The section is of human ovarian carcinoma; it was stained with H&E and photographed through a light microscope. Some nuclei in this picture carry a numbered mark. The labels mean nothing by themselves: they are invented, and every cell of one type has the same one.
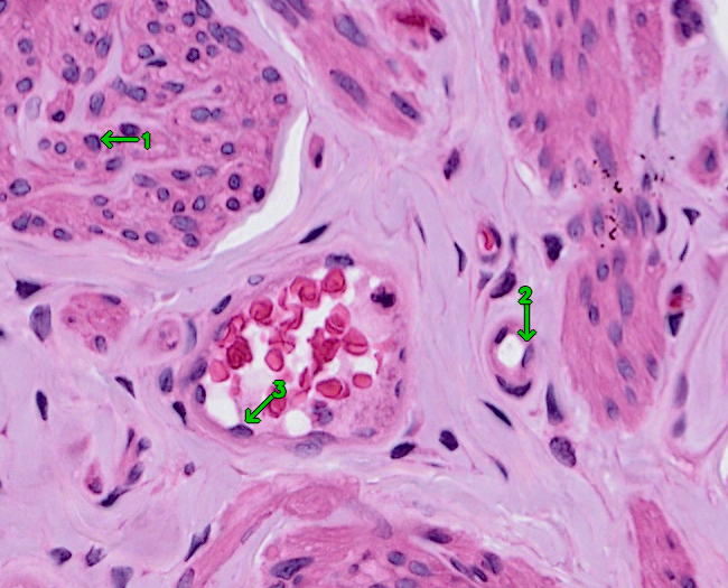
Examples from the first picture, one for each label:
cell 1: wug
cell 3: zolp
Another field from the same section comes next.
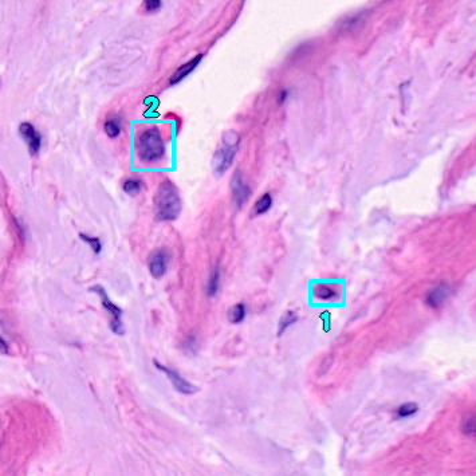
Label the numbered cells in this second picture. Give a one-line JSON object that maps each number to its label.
{"1": "wug", "2": "zolp"}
